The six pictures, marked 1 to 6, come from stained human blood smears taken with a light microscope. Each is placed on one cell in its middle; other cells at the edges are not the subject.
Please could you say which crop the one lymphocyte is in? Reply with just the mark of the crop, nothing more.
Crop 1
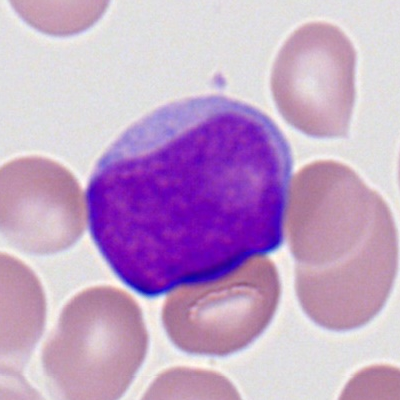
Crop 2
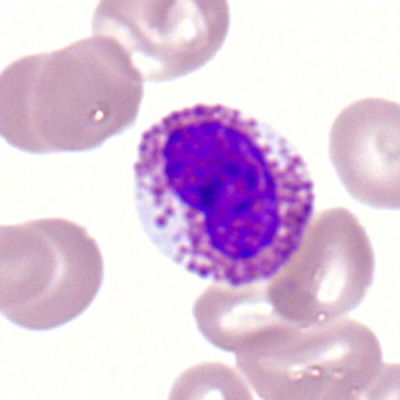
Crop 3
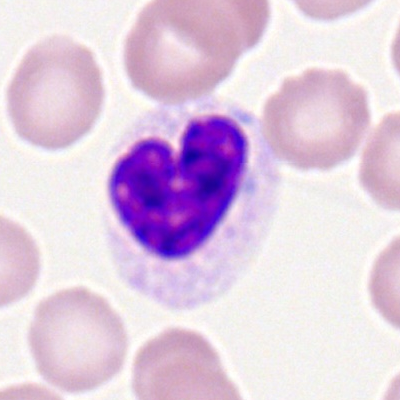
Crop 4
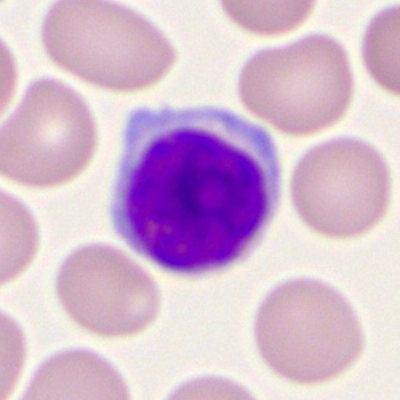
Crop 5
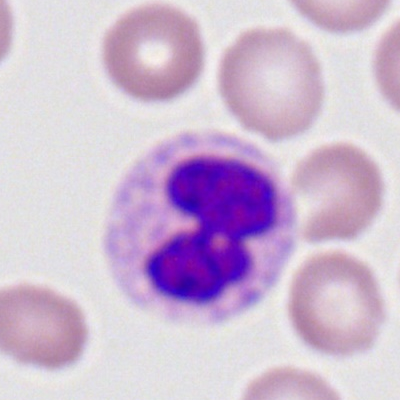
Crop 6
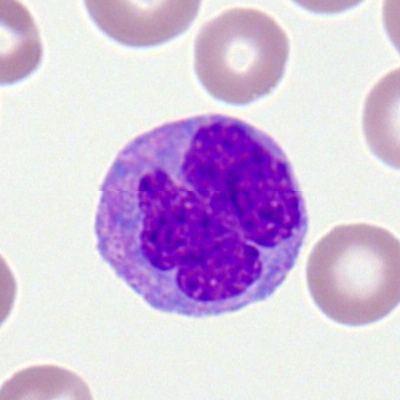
4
